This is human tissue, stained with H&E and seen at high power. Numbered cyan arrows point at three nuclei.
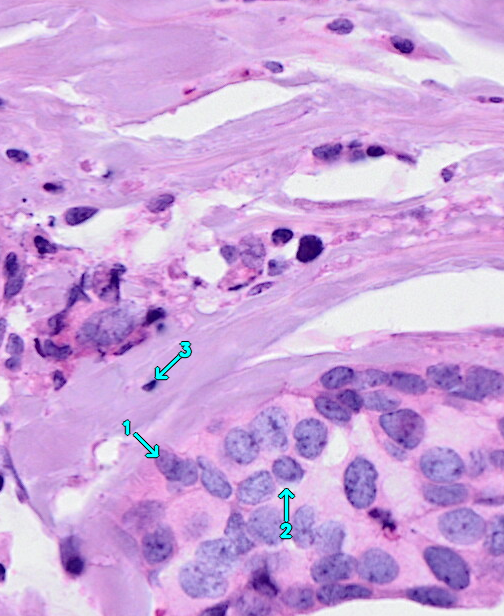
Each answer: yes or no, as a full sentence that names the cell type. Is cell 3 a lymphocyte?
Yes, cell number 3 in this section is a lymphocyte.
